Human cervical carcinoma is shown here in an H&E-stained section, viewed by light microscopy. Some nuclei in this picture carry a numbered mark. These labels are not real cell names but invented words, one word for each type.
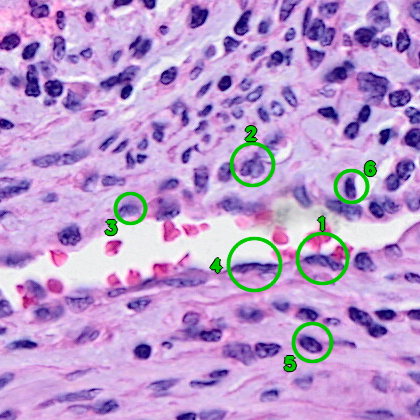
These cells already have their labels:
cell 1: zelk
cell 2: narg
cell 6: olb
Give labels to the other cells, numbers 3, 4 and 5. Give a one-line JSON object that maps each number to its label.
{"3": "zelk", "4": "zelk", "5": "olb"}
